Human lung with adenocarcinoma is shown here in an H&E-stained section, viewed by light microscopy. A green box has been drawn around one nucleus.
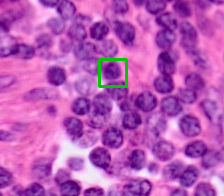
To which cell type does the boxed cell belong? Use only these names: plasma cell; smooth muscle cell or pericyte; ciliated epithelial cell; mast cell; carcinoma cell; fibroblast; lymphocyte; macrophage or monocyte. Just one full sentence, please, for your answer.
In the tissue under study, the boxed cell is a lymphocyte.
